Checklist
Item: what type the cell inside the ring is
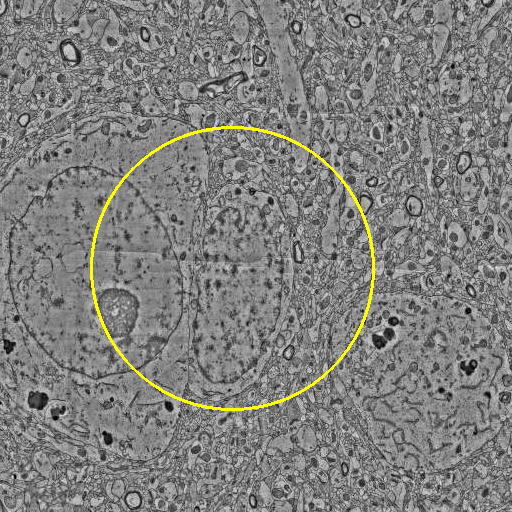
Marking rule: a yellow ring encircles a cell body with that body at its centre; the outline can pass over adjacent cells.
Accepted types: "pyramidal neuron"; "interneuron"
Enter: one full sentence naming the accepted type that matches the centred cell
The entry is that an interneuron lies at the centre of the yellow ring.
